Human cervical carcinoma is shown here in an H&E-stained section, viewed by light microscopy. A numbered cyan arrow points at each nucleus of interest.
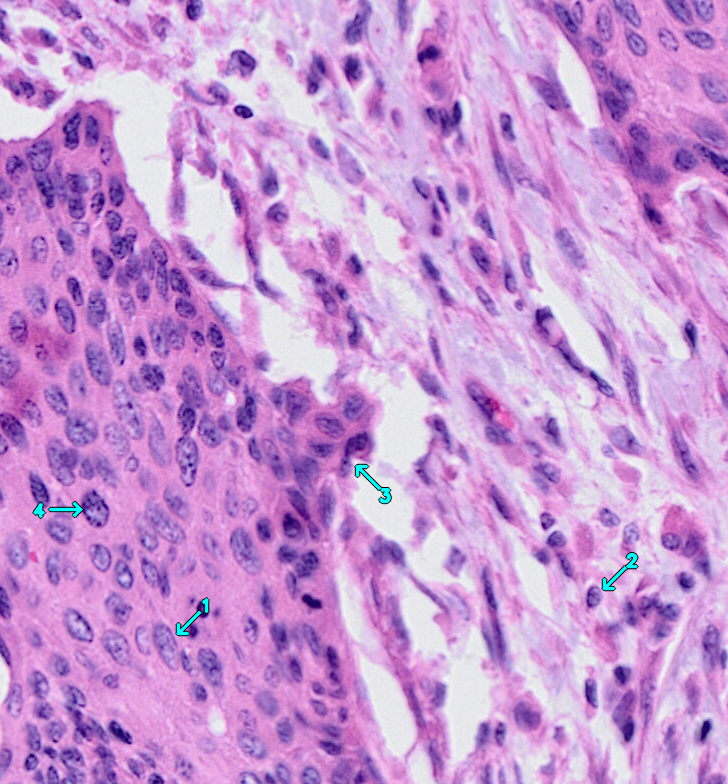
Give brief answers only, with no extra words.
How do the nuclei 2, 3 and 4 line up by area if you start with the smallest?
2, 3, 4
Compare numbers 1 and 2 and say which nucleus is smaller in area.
2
